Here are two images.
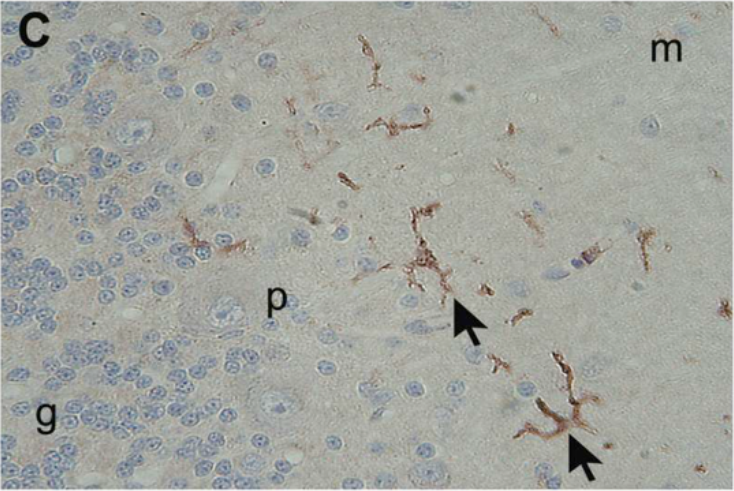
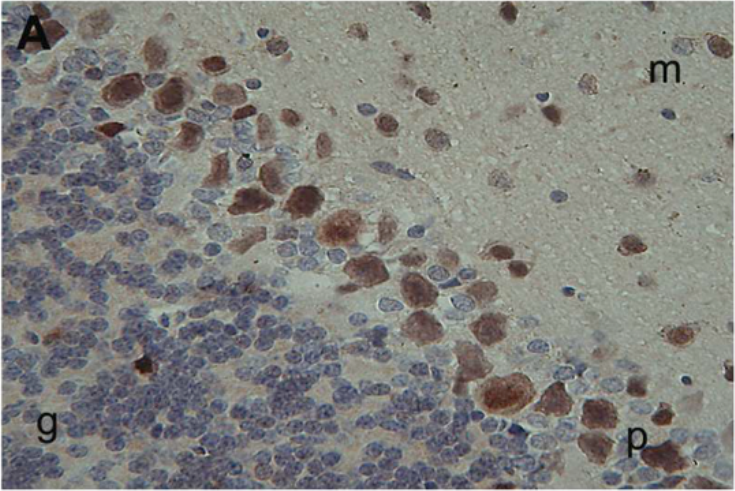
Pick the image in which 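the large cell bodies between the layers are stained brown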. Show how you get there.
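First image: the large cell bodies at the edge of the granular layer are pale, unstained. Second image: a row of large cell bodies is filled with brown stain.
Hence: the second image.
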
